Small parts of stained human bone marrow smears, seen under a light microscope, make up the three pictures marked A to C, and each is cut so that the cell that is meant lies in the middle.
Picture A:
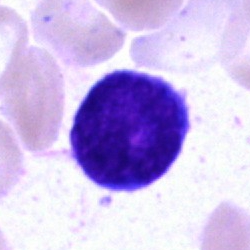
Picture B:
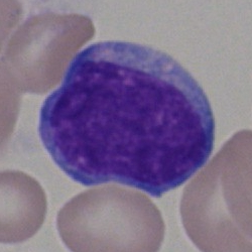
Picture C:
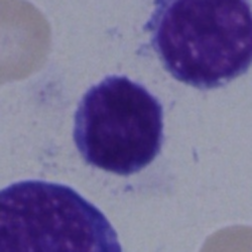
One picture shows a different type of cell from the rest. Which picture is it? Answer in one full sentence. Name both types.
The others show blasts, but picture C shows a lymphocyte.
